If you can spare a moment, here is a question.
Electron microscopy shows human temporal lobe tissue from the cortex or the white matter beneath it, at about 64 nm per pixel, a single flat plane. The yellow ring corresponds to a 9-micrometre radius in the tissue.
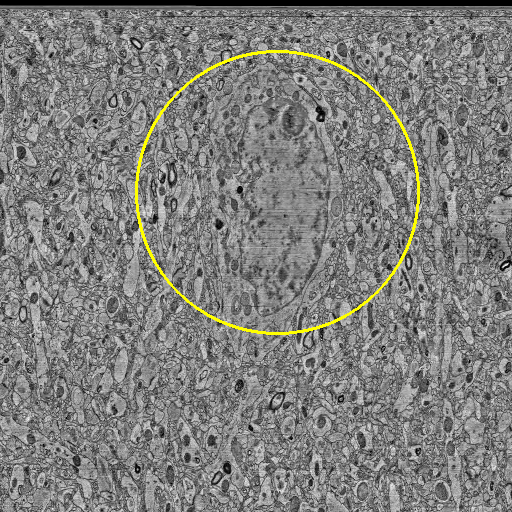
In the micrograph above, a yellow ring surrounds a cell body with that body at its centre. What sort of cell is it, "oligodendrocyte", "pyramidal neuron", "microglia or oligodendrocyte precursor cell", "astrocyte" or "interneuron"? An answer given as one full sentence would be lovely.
Centred inside the yellow ring, the cell body shown belongs to an interneuron in this micrograph.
